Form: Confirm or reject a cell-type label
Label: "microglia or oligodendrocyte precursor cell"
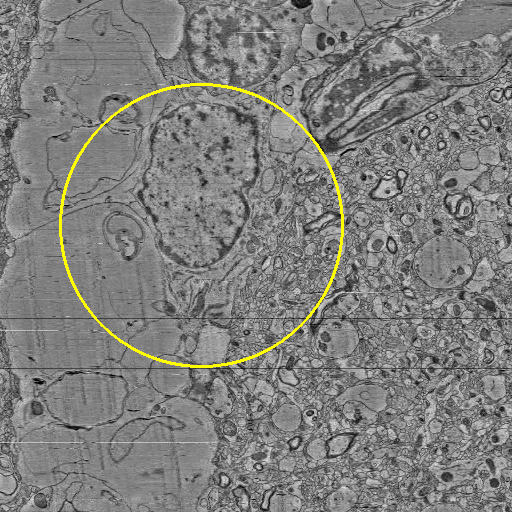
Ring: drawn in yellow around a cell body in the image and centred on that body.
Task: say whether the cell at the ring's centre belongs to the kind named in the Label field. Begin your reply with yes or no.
Yes, it belongs to that kind.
